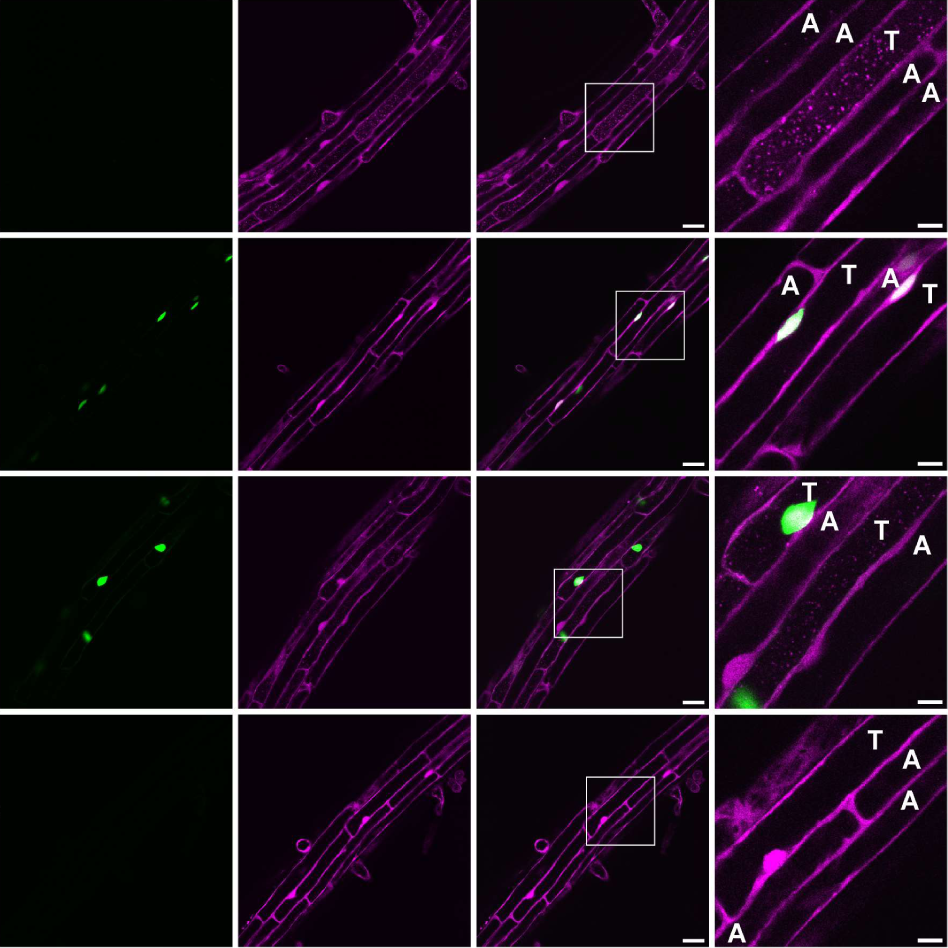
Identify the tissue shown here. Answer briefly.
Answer: Root maturation zone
